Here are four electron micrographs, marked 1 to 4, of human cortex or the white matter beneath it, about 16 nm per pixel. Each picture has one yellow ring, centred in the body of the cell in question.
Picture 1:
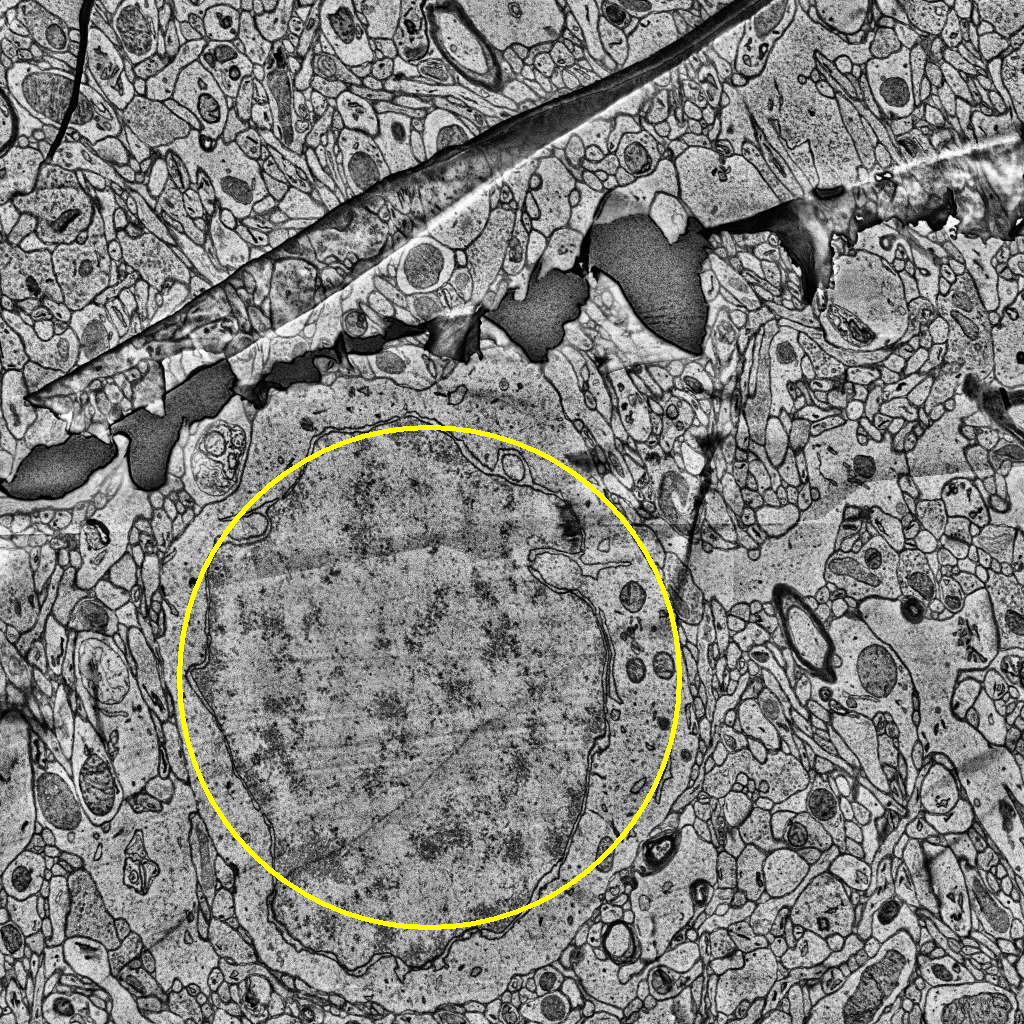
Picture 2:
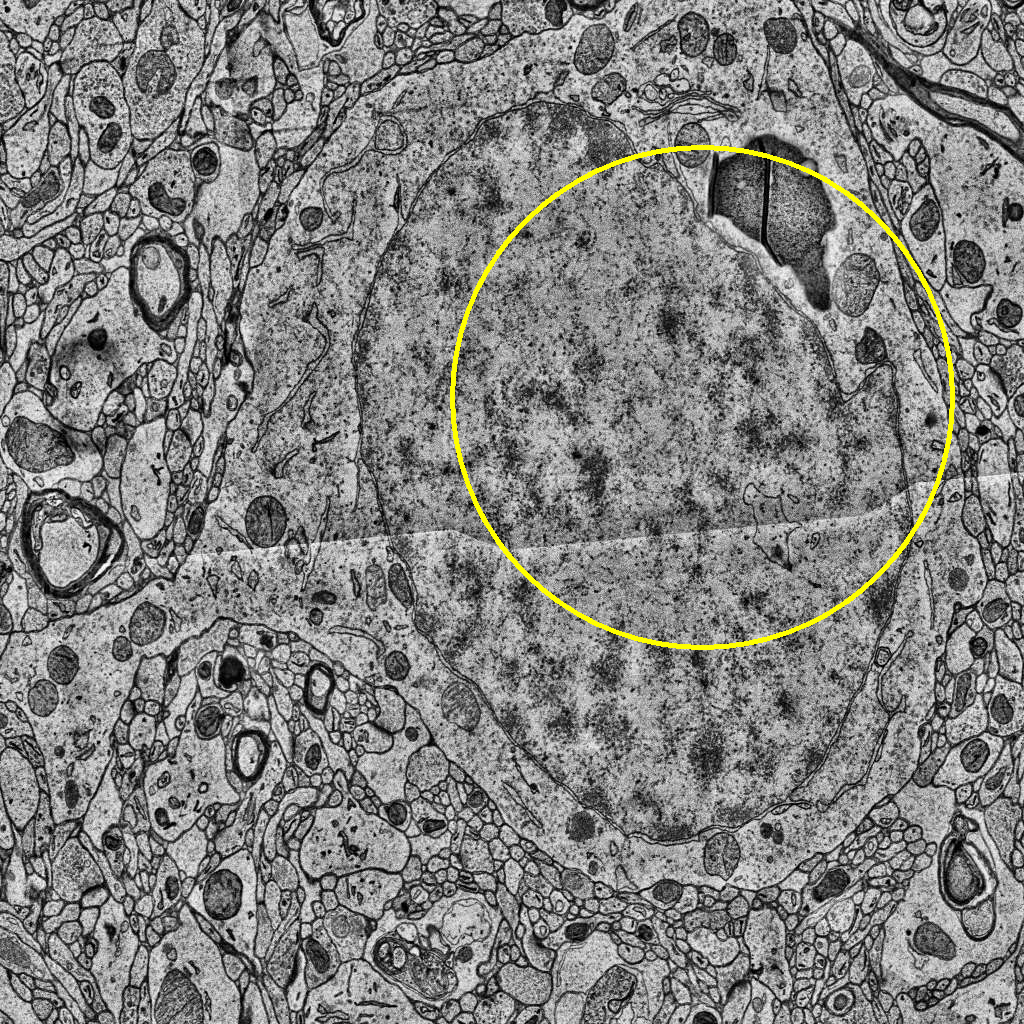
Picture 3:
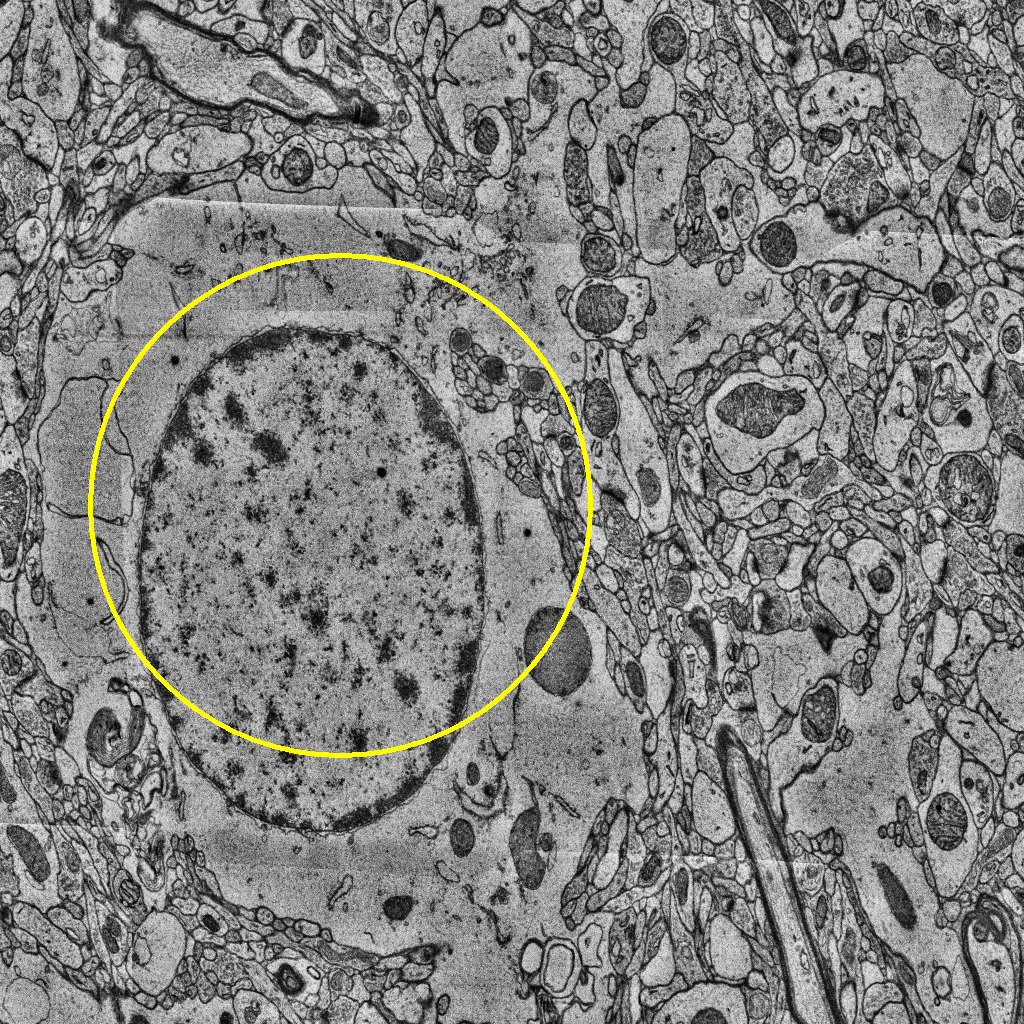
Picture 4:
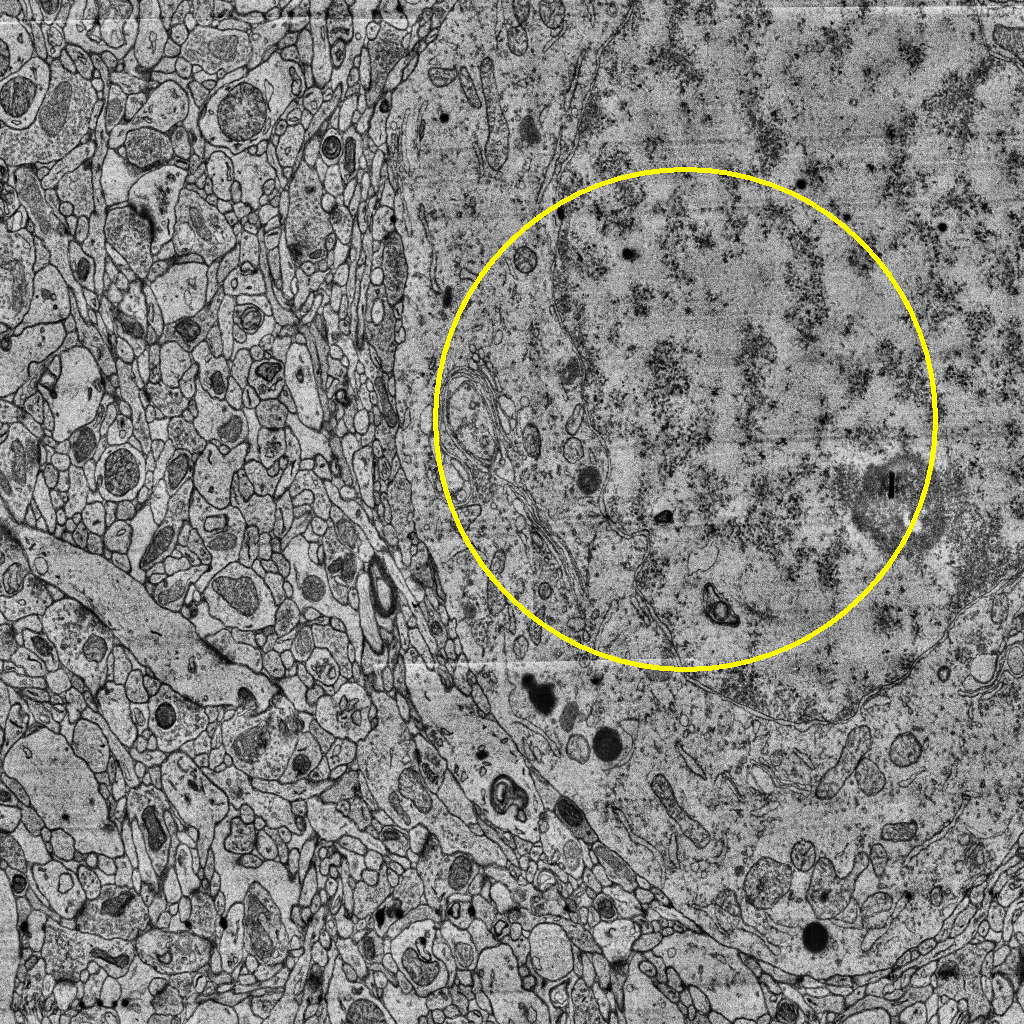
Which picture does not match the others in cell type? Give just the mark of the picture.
3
